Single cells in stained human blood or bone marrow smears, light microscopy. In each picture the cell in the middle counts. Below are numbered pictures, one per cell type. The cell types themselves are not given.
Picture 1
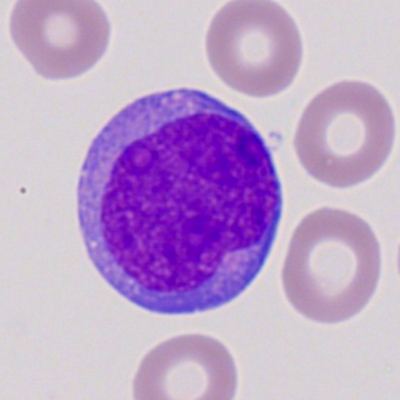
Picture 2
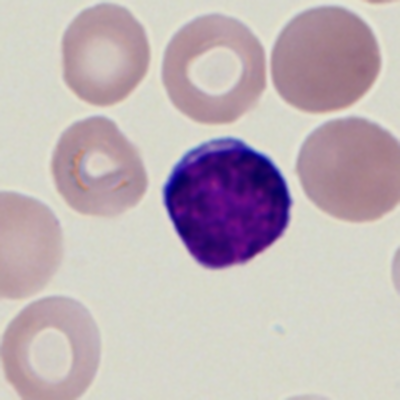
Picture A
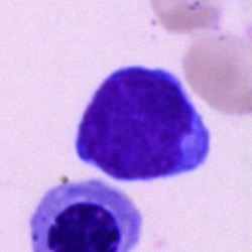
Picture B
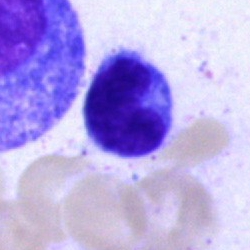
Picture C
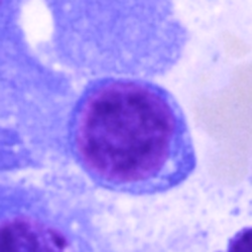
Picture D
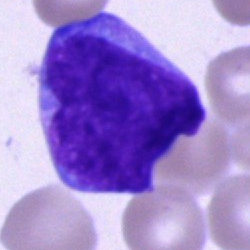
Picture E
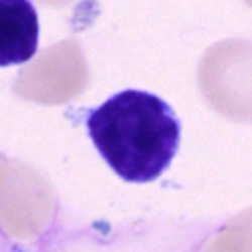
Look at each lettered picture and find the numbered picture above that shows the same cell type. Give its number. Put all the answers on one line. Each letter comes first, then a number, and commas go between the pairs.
A 2, B 2, C 2, D 1, E 2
